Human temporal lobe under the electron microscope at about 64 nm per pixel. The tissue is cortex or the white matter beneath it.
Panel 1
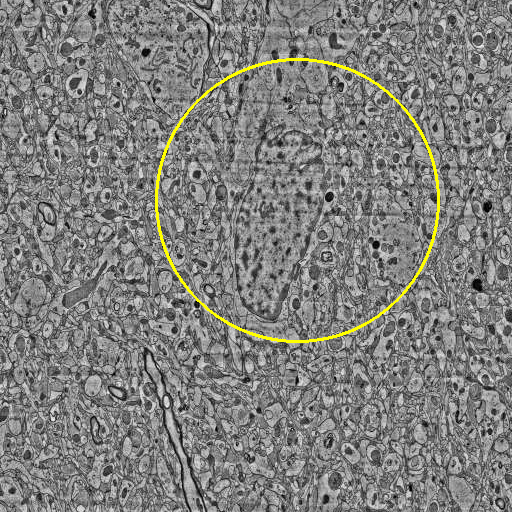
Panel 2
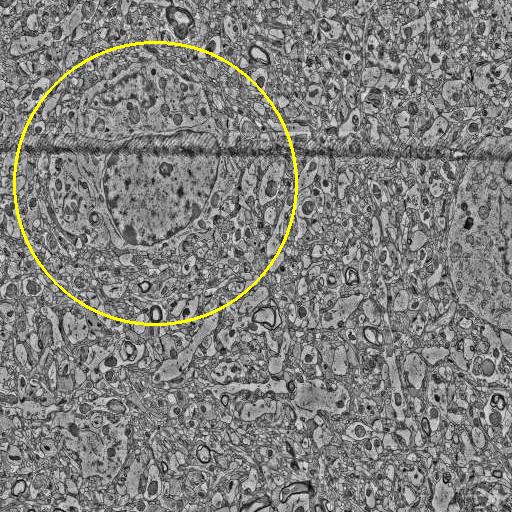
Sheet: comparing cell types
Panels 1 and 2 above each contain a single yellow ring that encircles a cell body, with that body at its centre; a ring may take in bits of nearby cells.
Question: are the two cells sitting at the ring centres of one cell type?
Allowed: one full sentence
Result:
Yes, the ring-centre cells in Panel 1 and Panel 2 are of one type.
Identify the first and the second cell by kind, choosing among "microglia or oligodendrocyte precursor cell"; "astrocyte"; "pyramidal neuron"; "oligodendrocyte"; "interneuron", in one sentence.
Both cells are the same kind, each one being a microglial cell or oligodendrocyte precursor cell.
